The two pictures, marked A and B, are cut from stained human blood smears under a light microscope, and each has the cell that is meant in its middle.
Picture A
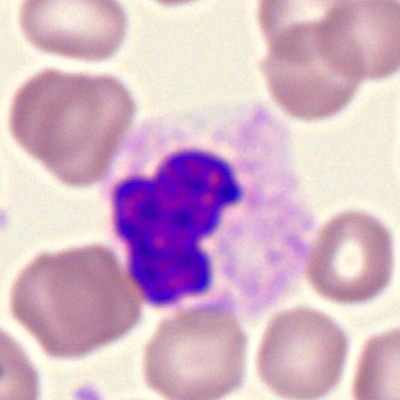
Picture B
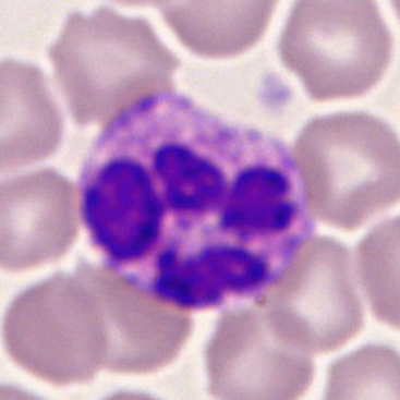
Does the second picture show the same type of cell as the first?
no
